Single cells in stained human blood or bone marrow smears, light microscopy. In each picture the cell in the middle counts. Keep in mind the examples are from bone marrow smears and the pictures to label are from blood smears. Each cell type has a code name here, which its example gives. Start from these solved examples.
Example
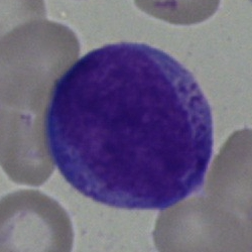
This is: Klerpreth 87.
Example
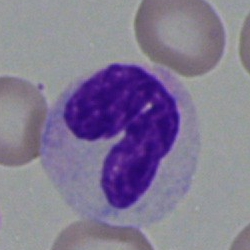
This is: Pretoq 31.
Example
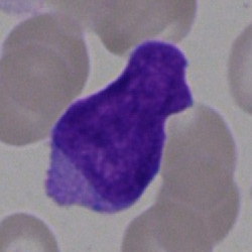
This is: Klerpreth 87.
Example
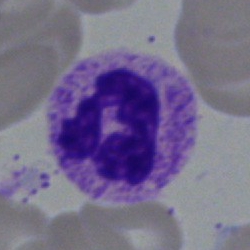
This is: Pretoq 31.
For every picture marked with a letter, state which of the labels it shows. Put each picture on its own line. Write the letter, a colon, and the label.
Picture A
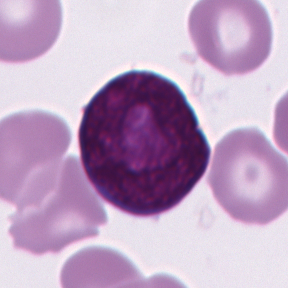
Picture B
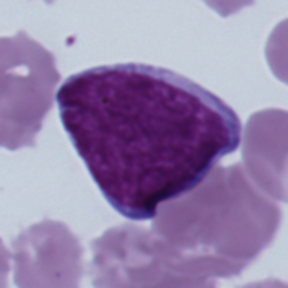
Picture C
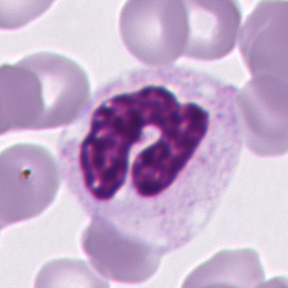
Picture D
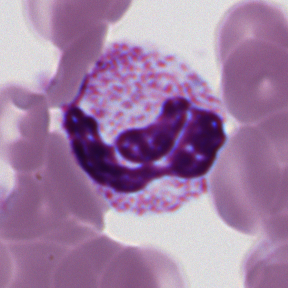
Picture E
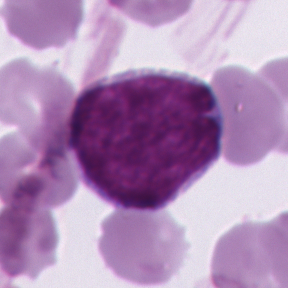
A: Klerpreth 87.
B: Klerpreth 87.
C: Pretoq 31.
D: Pretoq 31.
E: Klerpreth 87.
